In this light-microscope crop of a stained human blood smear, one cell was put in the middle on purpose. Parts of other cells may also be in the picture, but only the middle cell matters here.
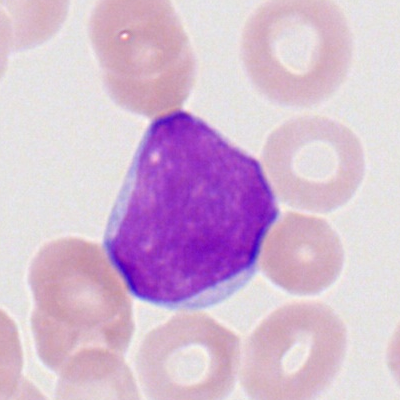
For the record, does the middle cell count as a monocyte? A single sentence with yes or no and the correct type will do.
No, rather than being a monocyte, the central cell is a myeloblast.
